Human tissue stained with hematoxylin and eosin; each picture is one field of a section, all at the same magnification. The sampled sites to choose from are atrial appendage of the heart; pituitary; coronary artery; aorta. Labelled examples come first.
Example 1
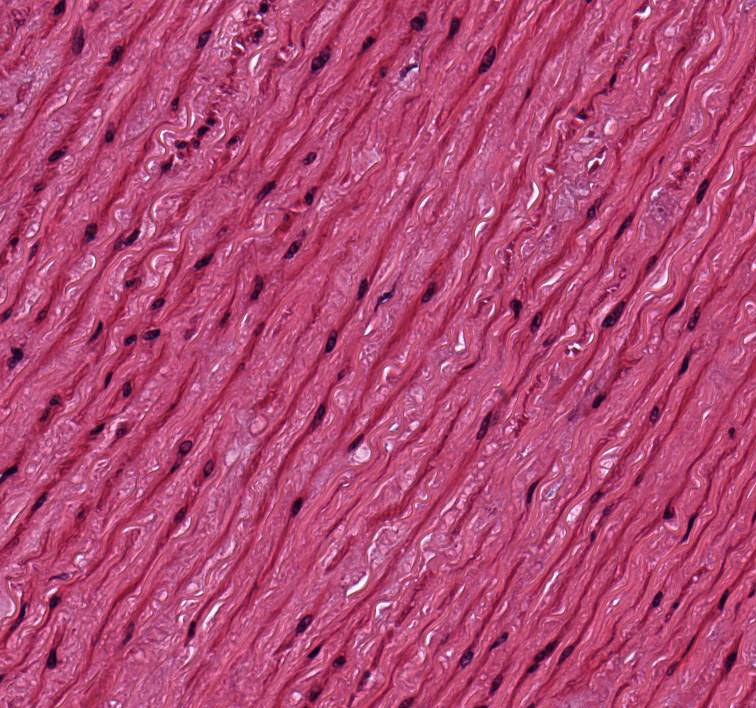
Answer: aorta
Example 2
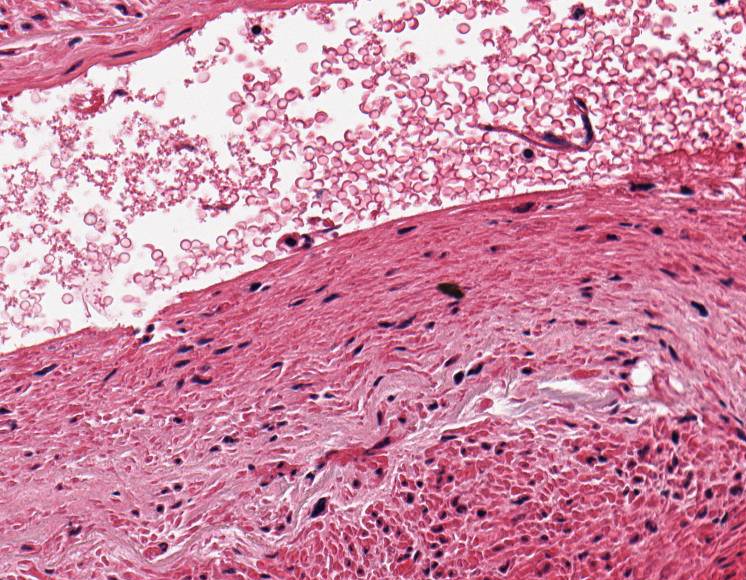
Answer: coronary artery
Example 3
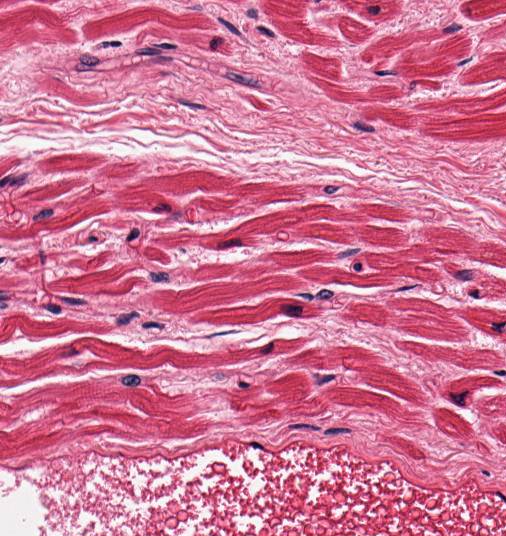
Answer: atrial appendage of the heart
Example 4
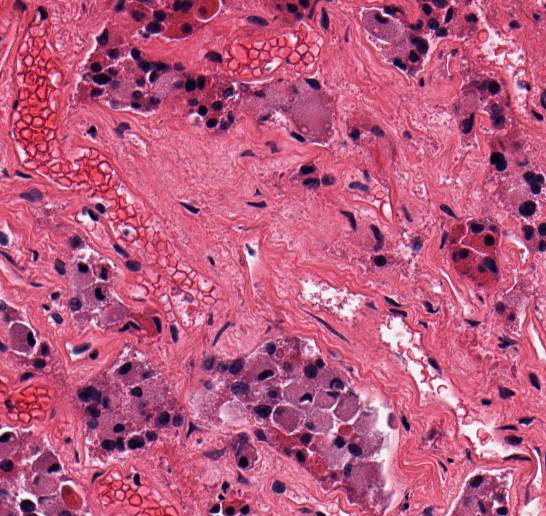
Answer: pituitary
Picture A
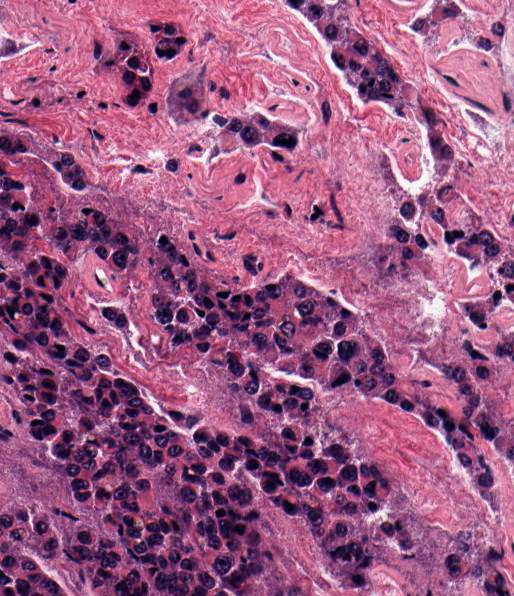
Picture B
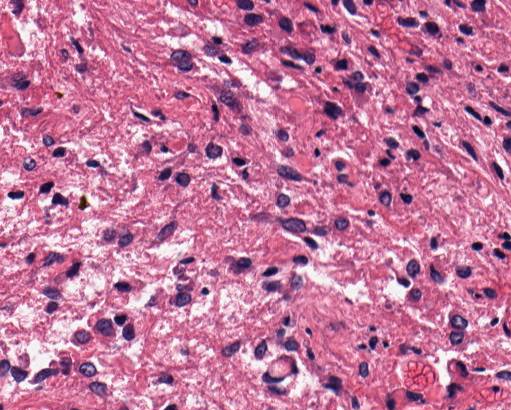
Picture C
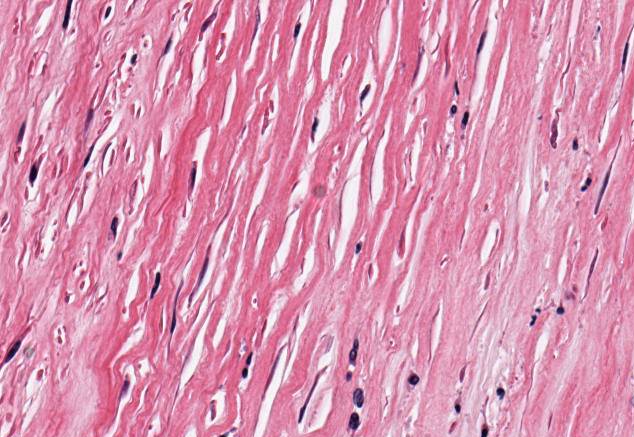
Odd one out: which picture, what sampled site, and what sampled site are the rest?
C differs and shows coronary artery; the others show pituitary.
